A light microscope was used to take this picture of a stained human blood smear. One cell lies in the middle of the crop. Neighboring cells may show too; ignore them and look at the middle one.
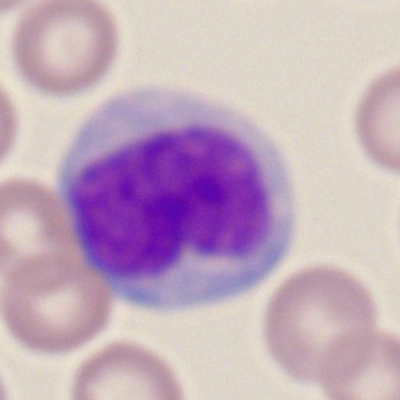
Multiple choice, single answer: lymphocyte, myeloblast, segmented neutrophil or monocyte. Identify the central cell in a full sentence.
Whatever else lies nearby, the middle cell is a monocyte.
